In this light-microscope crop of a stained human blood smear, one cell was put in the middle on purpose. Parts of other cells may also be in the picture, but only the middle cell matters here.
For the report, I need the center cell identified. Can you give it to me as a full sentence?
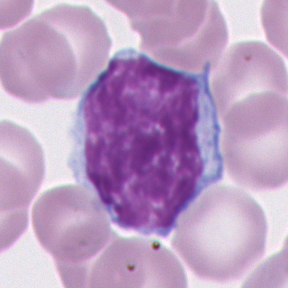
Seen at the centre of the crop is a typical lymphocyte.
